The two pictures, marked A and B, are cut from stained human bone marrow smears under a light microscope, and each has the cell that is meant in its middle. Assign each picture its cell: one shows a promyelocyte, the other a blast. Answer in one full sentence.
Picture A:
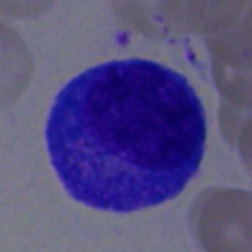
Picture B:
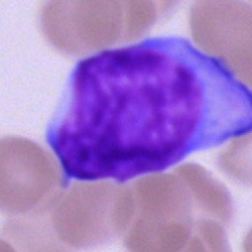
Picture A is of a promyelocyte, and picture B is of a blast.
